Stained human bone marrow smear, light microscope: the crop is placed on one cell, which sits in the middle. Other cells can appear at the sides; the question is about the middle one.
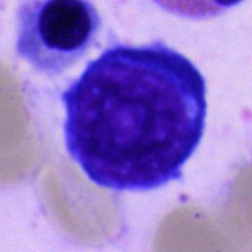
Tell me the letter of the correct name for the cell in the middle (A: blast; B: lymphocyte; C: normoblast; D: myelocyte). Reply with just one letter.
C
